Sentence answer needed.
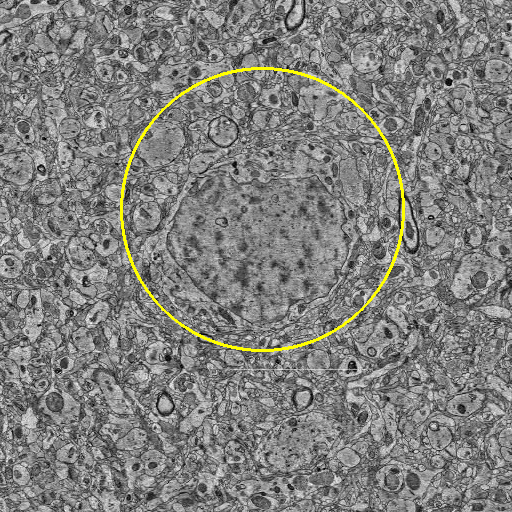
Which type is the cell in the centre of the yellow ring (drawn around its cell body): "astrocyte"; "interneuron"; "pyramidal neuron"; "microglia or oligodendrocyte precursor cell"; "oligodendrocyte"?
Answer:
In the centre of the yellow ring is an interneuron.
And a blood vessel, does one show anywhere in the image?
No, there is no blood vessel in the image.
